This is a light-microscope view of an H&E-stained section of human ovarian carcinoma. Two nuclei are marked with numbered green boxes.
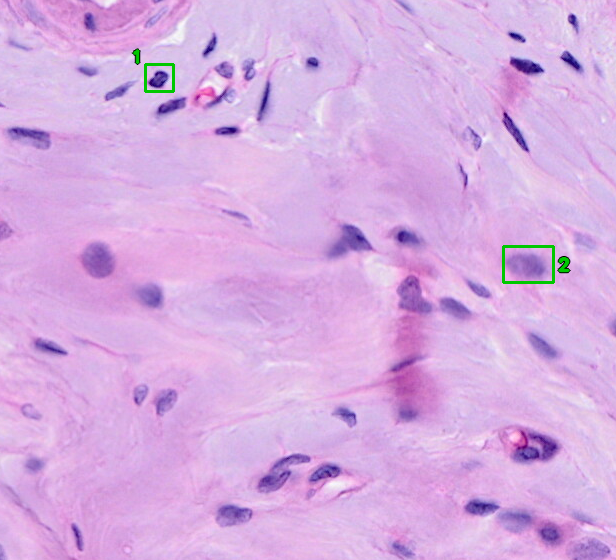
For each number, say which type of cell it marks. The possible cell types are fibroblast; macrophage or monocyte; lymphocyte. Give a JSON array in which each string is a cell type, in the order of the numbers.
["lymphocyte", "fibroblast"]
